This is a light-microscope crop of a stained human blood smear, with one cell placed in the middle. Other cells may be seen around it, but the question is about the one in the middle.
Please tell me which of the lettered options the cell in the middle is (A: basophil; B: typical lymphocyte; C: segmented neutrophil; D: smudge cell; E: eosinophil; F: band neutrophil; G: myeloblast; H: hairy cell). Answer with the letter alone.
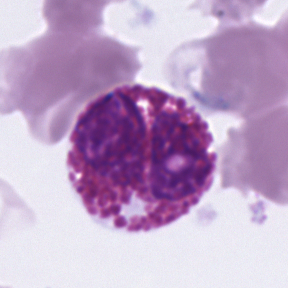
E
